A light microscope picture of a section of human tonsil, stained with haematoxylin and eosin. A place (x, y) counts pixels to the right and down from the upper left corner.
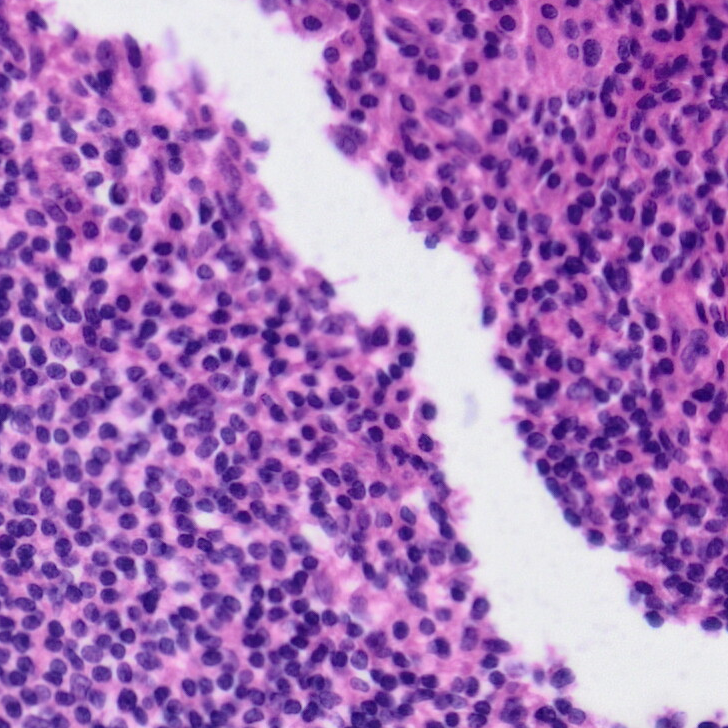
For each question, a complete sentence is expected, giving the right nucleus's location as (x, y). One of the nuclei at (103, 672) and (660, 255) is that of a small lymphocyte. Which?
Of the two candidate nuclei, the one at (103, 672) is that of a small lymphocyte.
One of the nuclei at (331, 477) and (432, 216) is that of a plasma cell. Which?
So, of the two, the nucleus at (432, 216) is the one belonging to a plasma cell.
